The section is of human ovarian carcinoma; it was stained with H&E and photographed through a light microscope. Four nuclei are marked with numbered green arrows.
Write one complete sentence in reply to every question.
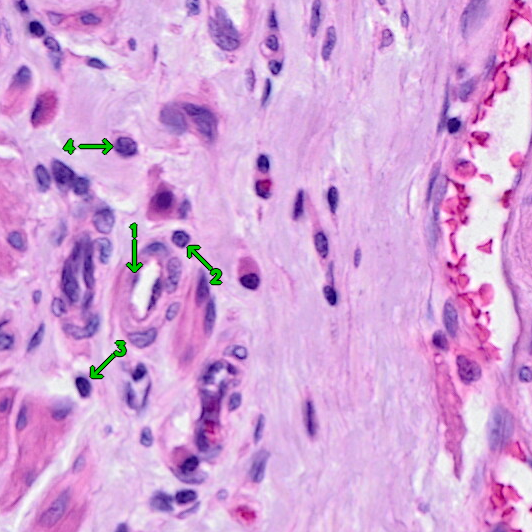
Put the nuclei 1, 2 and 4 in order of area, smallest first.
The order from the smallest nucleus to the largest is 1, 2, 4.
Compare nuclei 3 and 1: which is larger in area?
Of the two, number 3 is bigger and takes up about 3 times the area of number 1.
